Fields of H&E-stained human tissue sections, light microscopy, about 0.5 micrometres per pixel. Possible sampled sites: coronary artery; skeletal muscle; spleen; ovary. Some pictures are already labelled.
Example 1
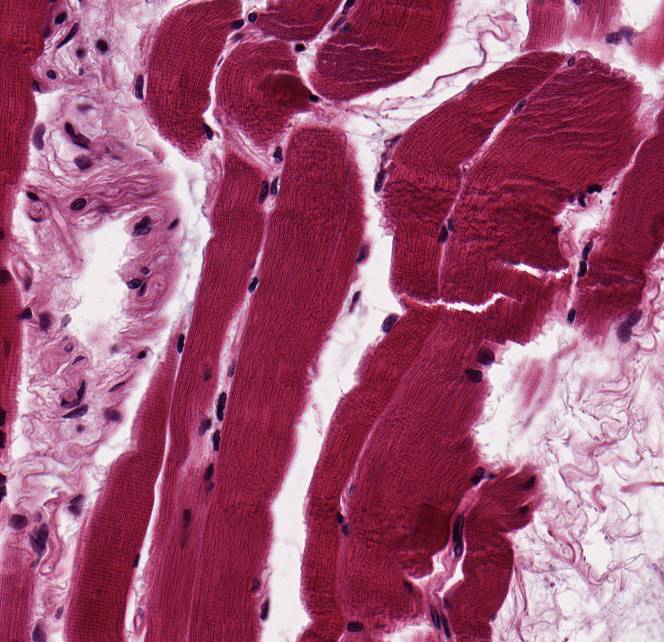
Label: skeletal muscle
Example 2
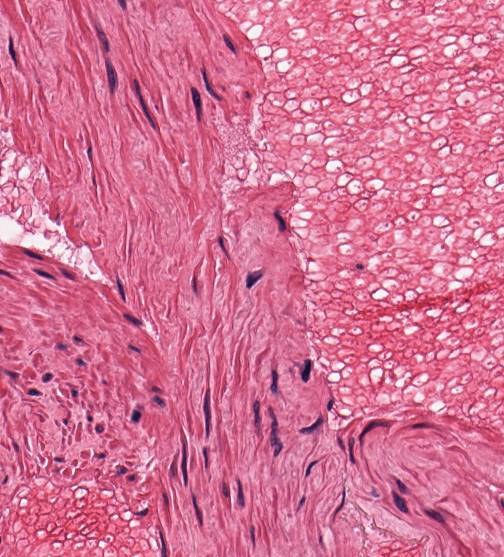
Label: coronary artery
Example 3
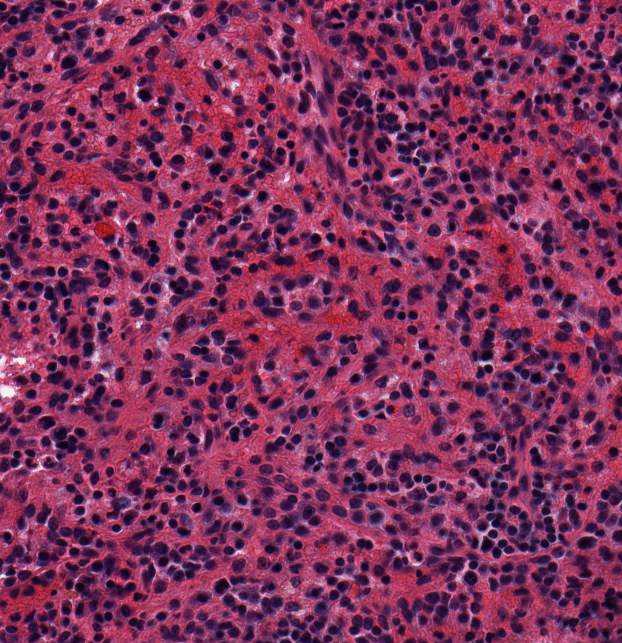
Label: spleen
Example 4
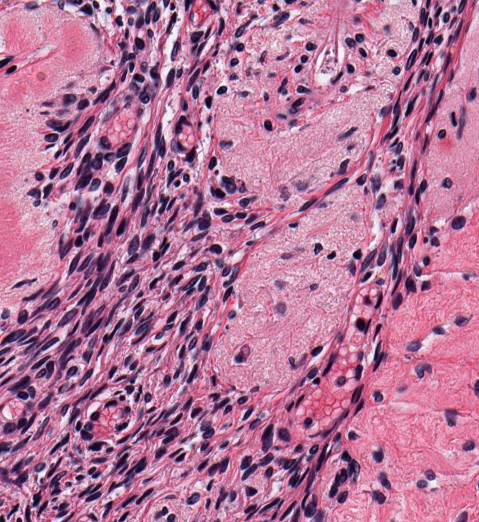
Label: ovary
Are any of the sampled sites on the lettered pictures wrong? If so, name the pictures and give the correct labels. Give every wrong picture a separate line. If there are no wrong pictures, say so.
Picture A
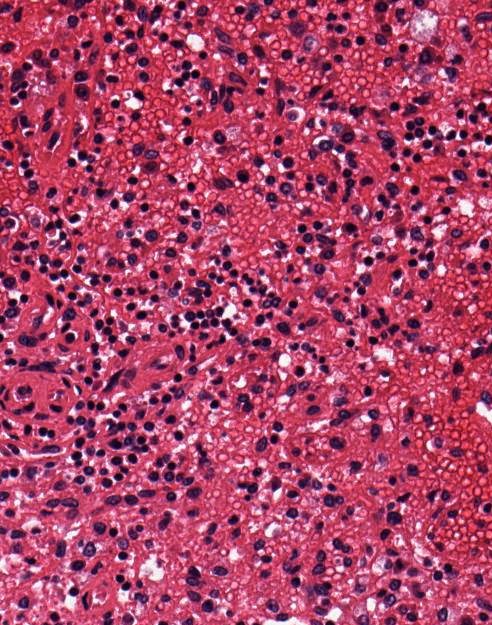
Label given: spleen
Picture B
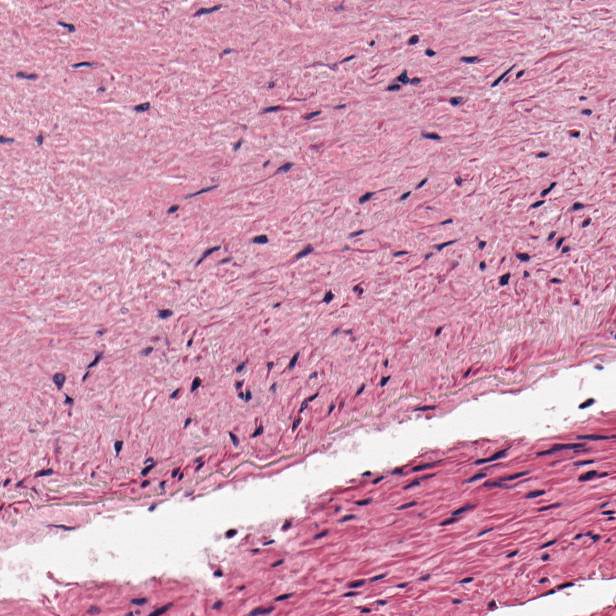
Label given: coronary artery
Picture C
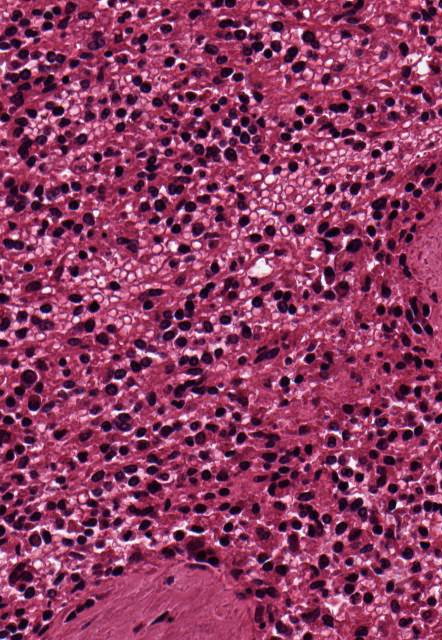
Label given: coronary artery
C is labelled coronary artery; correct label: spleen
